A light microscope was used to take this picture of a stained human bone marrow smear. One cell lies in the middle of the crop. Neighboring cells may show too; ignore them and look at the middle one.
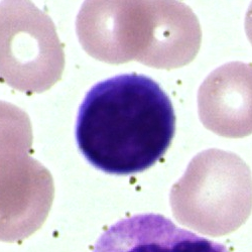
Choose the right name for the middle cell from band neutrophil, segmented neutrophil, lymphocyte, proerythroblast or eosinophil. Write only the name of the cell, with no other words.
lymphocyte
